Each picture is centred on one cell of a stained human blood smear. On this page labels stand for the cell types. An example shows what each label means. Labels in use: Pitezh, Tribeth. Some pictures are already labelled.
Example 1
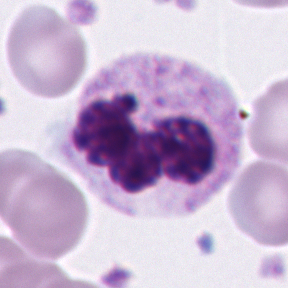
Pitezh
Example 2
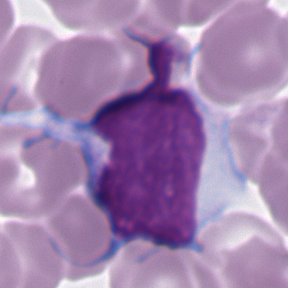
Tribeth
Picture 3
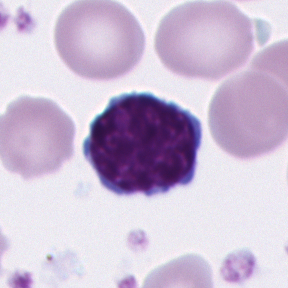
Tribeth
